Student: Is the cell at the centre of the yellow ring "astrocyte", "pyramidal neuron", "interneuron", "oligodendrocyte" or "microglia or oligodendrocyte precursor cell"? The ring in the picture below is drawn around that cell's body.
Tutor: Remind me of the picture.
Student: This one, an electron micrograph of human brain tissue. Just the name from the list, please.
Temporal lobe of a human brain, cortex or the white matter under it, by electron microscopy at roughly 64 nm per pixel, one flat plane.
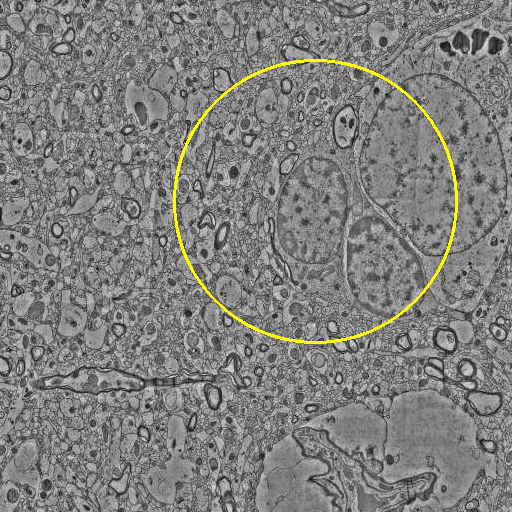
oligodendrocyte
